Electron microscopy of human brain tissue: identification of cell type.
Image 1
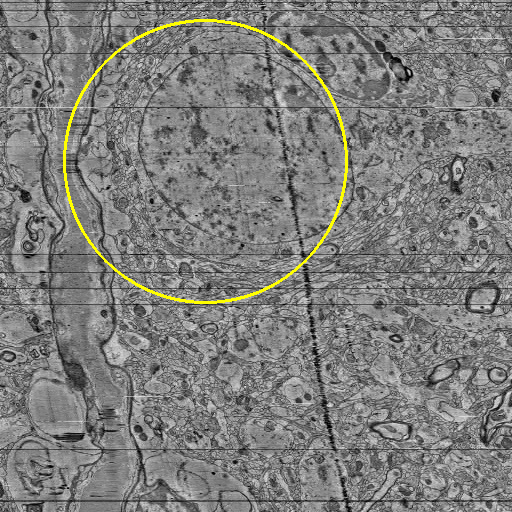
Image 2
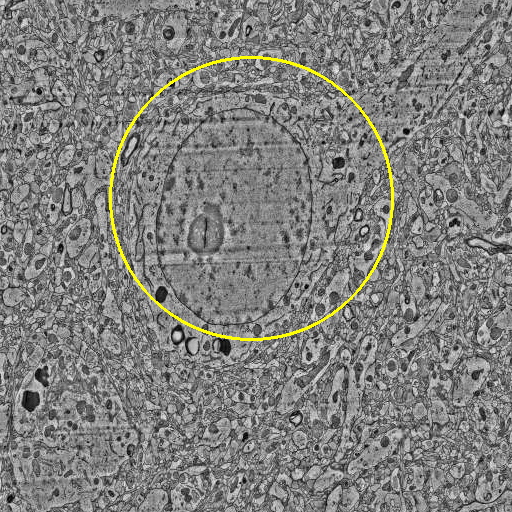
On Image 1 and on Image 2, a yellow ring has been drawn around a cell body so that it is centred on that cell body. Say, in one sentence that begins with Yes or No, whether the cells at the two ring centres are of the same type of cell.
Yes, both cells are the same type of cell.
